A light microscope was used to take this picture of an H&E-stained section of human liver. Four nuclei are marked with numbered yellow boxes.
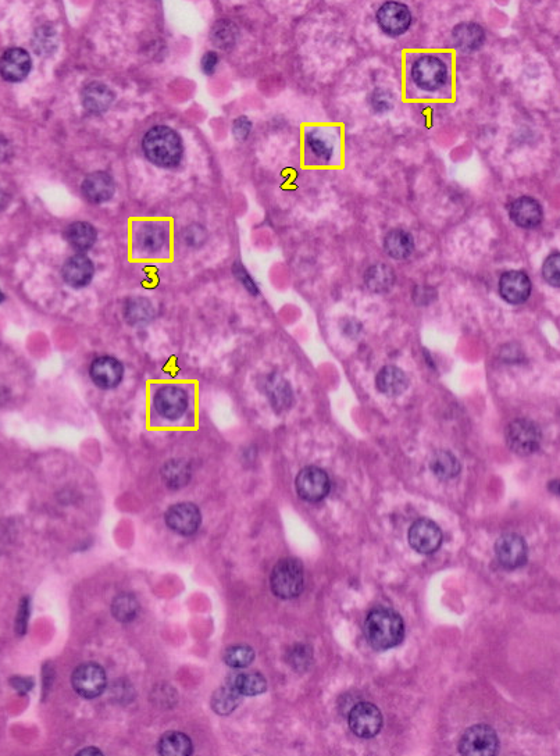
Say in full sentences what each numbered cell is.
Cells 1, 3 and 4 are hepatocytes. Cell 2 is an endothelial cell.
